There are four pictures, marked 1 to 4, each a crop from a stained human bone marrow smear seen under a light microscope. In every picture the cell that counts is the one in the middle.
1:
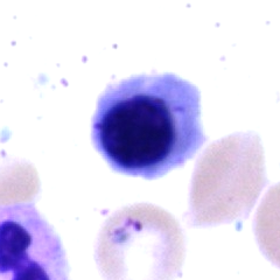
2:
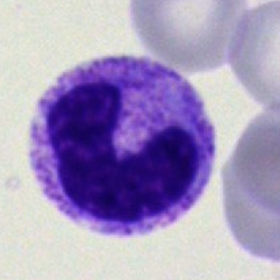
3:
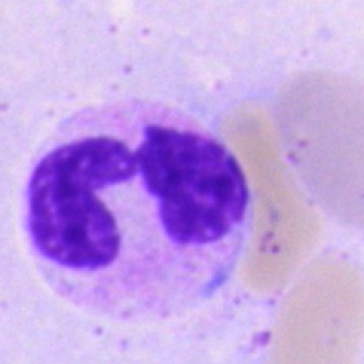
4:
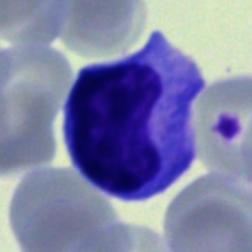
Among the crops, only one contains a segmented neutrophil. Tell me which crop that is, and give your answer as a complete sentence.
The one crop in the set with a segmented neutrophil is crop 3.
